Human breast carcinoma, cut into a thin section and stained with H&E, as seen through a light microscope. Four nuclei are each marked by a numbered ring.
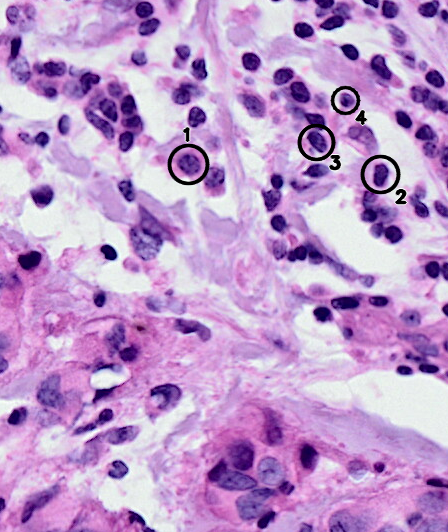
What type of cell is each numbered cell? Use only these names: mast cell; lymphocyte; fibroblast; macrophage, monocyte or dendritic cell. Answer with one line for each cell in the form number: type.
1: mast cell
2: lymphocyte
3: lymphocyte
4: lymphocyte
